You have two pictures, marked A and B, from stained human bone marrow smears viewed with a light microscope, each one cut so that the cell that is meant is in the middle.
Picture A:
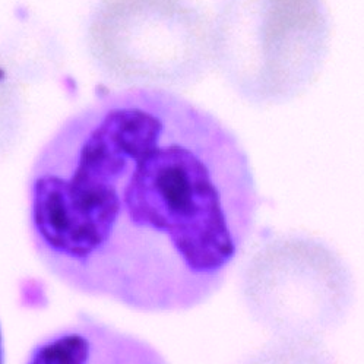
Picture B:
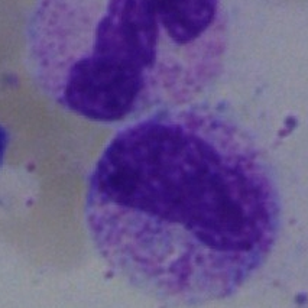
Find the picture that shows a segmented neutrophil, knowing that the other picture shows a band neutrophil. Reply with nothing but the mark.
A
